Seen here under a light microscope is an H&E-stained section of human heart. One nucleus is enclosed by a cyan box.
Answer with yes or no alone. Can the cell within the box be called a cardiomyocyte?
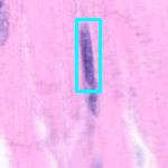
no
